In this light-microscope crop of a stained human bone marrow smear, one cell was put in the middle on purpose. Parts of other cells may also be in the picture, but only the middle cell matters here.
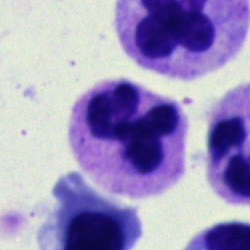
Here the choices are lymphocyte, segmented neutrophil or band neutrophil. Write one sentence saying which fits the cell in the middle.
The cell shown in the center of this light-microscope crop is a segmented neutrophil.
